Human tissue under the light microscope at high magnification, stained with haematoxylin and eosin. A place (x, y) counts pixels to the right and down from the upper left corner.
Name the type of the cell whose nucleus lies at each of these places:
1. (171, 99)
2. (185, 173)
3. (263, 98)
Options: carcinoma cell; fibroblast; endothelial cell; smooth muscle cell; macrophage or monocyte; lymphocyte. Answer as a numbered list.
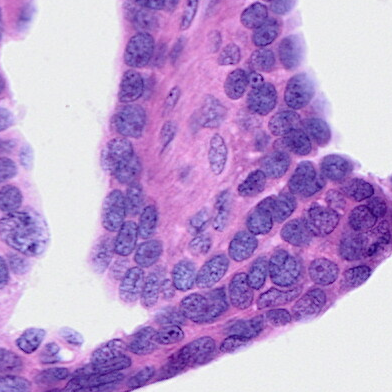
1. fibroblast
2. fibroblast
3. carcinoma cell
